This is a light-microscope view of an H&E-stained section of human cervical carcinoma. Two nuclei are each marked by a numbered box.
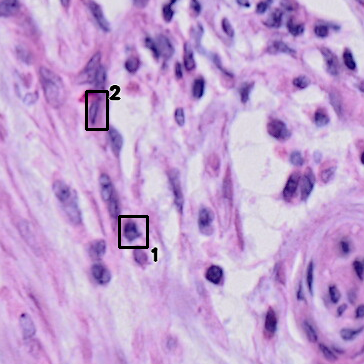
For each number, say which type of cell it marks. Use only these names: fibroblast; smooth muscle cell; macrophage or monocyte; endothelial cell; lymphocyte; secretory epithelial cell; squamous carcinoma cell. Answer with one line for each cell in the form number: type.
1: lymphocyte
2: endothelial cell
